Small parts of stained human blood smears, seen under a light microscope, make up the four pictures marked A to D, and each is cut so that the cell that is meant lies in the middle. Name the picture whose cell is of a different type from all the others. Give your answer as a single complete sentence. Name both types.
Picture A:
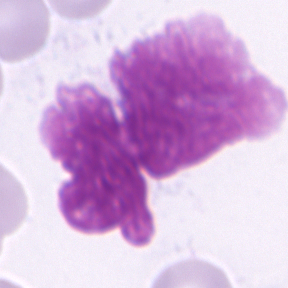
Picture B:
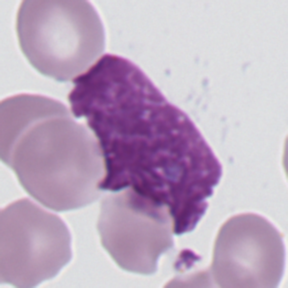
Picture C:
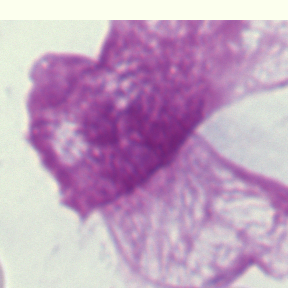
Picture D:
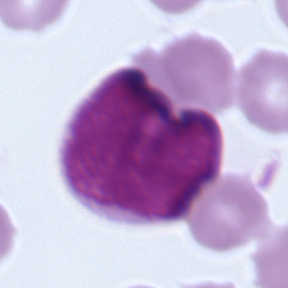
All pictures except D show smudge cells; picture D shows a myeloblast.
